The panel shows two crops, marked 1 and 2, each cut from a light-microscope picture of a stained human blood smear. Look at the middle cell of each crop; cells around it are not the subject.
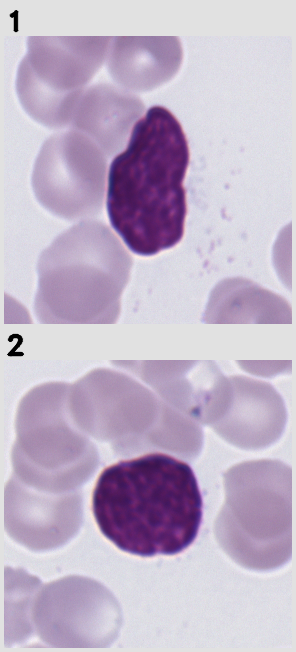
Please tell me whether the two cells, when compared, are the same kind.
yes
